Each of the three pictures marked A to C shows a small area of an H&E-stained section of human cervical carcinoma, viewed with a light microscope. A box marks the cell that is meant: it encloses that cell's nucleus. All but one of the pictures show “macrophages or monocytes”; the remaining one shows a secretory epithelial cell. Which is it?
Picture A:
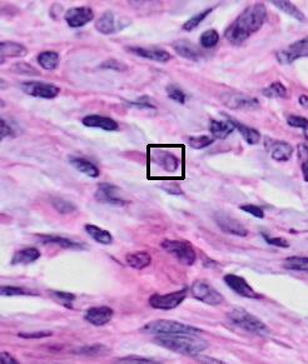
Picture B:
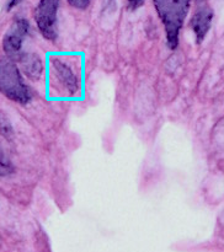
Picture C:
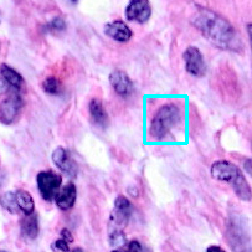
B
